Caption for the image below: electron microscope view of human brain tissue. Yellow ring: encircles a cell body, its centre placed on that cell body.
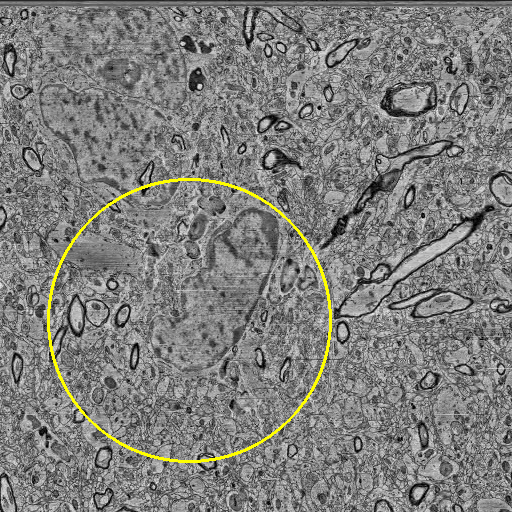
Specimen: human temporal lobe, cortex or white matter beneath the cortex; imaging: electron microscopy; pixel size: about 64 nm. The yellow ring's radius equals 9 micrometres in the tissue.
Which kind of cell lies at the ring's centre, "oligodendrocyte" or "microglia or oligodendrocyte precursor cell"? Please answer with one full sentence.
The picture shows a microglial cell or oligodendrocyte precursor cell at the centre of the yellow ring.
